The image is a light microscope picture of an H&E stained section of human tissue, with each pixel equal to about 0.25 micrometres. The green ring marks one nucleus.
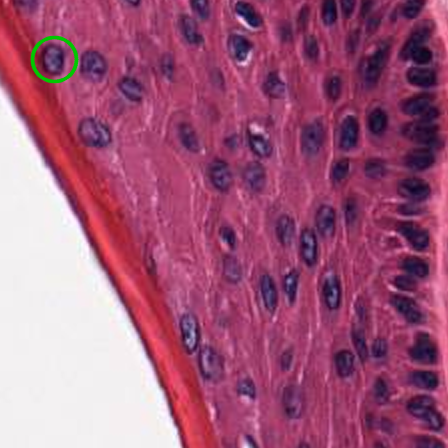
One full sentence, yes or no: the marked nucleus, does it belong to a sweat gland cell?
No, the marked nucleus is housed in a keratinocyte, not in a sweat gland cell.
